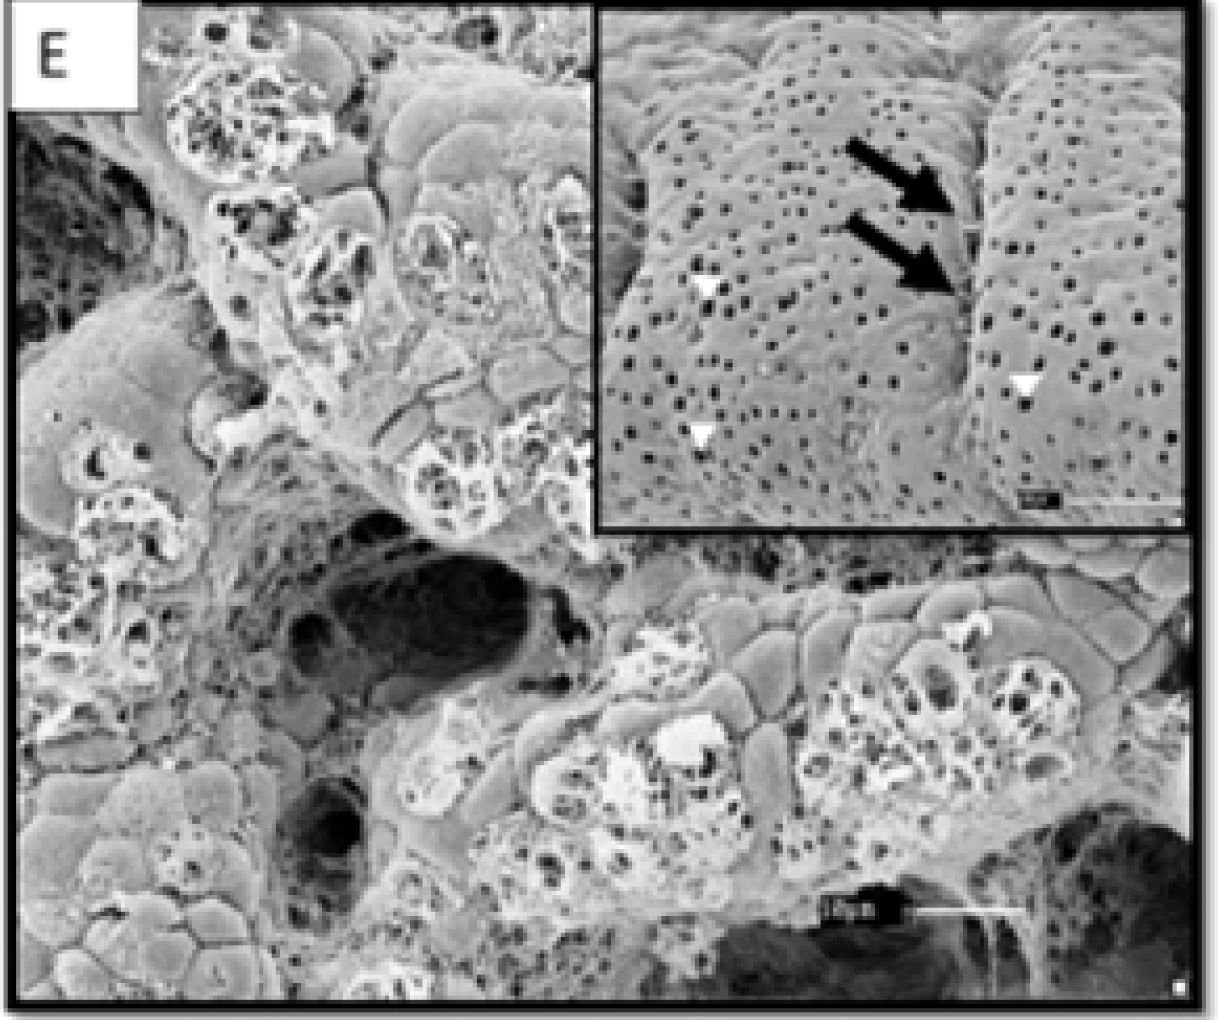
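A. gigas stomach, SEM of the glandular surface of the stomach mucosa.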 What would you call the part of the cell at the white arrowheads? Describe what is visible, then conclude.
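Micro orifices. In the inset, the cell surfaces are dotted with many small dark pores.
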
